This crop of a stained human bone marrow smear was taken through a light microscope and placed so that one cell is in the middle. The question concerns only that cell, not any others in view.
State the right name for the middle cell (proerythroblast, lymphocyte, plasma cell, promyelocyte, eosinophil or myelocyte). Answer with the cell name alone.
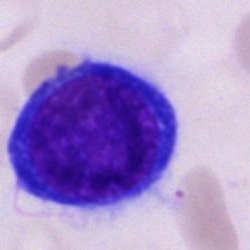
proerythroblast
